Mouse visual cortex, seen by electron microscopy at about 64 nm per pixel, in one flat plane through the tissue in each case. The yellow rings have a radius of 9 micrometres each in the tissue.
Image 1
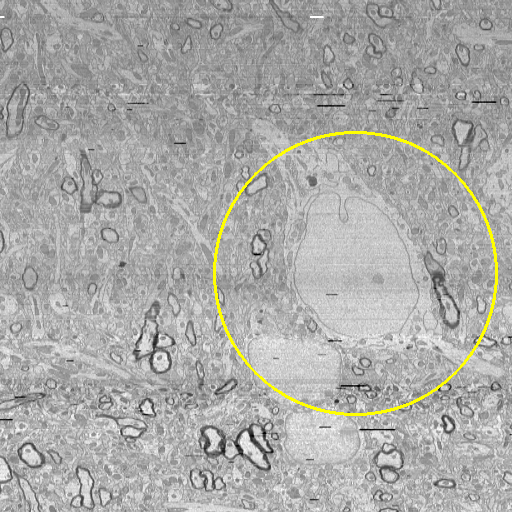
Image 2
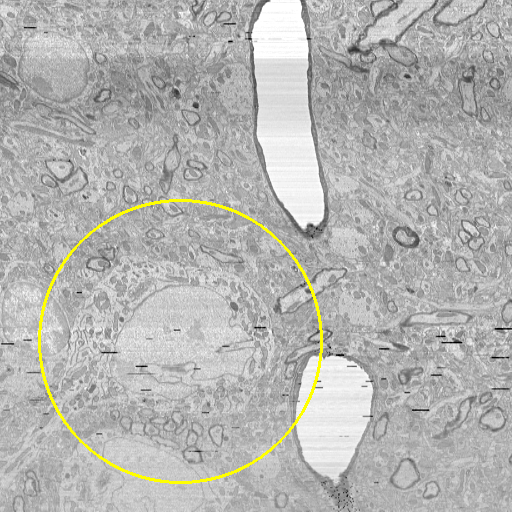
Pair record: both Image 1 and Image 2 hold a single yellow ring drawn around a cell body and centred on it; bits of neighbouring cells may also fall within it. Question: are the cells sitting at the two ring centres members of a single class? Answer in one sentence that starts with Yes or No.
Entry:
No, the ring-centre cells in Image 1 and Image 2 come from two classes.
